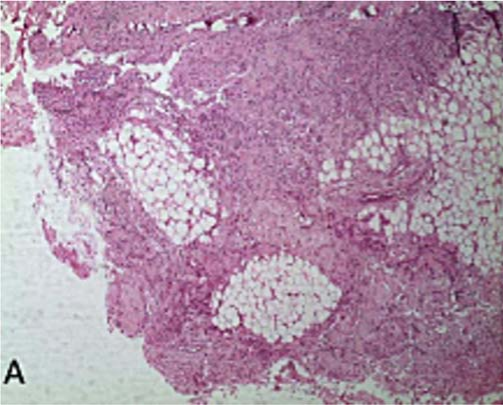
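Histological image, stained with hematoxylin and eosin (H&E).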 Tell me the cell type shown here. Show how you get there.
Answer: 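Mature adipocytes. Clusters of large, empty-looking round cells with thin pale walls form several islands. These islands are surrounded by dense pink-purple cellular tissue.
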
